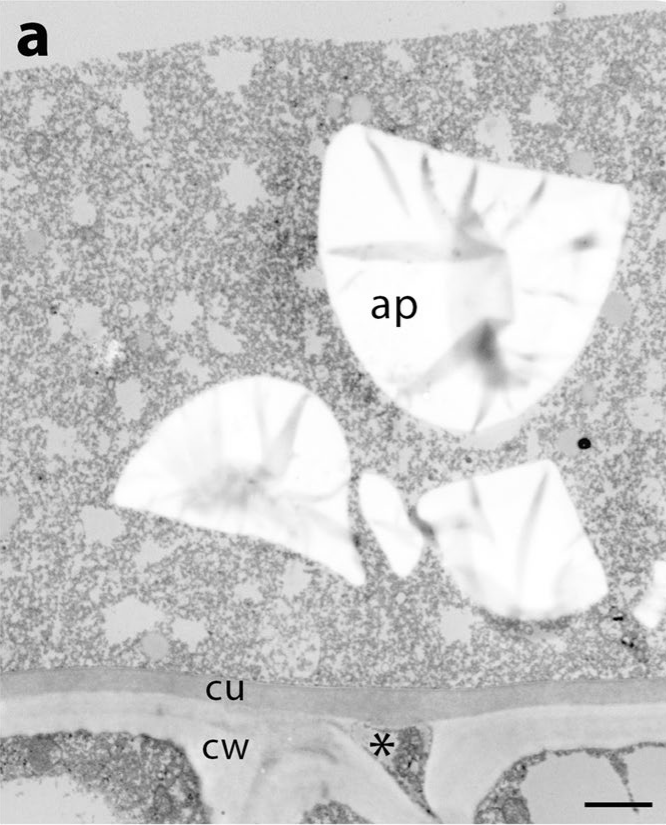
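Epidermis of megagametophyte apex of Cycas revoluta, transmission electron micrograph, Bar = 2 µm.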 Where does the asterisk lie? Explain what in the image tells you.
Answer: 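The asterisk lies in a small gap where the pale walls of neighbouring cells meet. The gap lies directly beneath the continuous grey surface layer. The gap holds dark granular material.
Hence: intercellular space.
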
